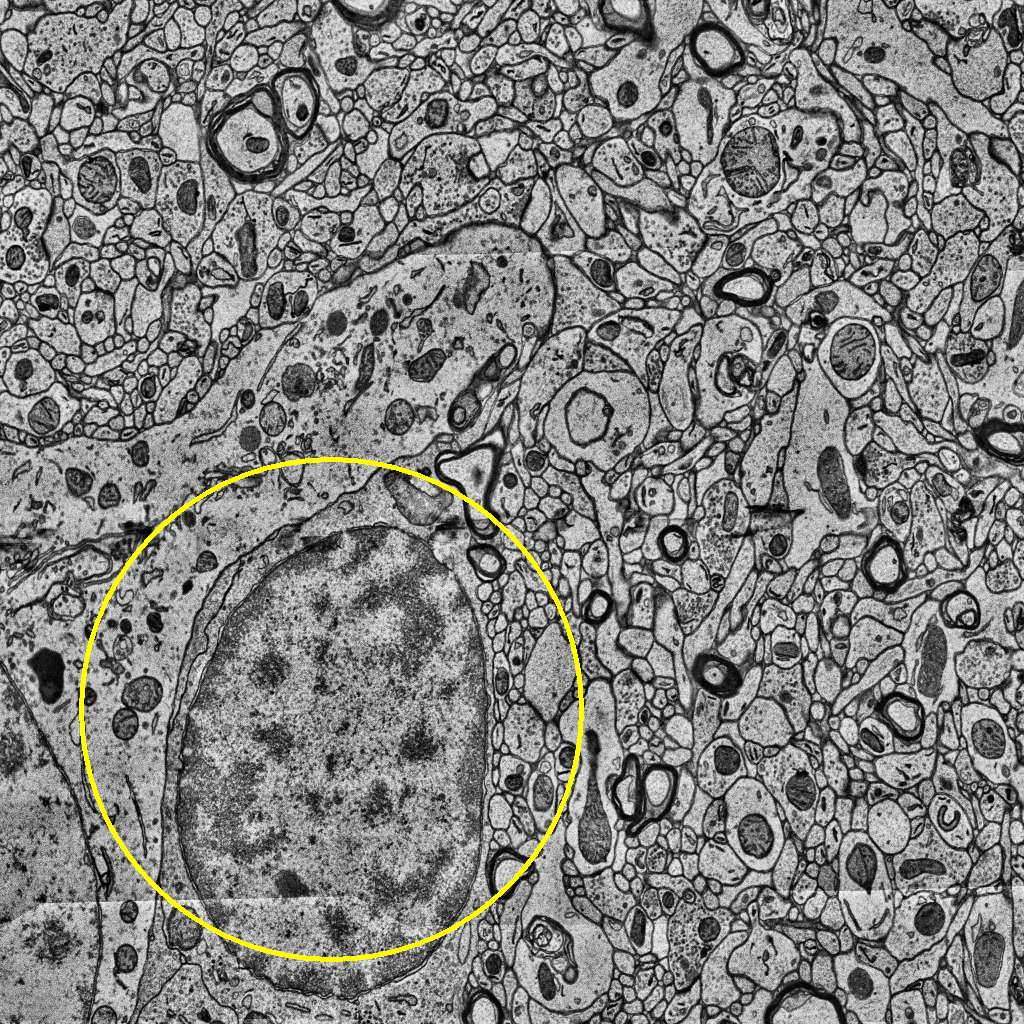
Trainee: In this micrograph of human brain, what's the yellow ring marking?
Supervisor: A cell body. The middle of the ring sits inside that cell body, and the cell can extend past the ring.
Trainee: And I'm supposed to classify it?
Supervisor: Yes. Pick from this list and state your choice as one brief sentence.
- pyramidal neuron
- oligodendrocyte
The cell at the ring's center is an oligodendrocyte.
